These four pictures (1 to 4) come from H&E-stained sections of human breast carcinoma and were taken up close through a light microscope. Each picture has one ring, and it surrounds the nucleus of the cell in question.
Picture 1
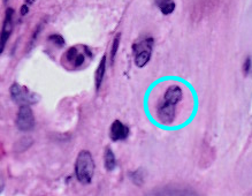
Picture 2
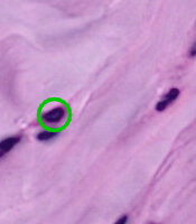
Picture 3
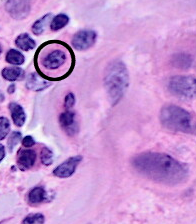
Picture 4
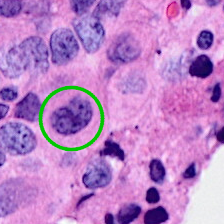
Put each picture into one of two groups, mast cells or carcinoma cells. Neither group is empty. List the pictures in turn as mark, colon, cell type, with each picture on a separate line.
1: mast cell
2: mast cell
3: mast cell
4: carcinoma cell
